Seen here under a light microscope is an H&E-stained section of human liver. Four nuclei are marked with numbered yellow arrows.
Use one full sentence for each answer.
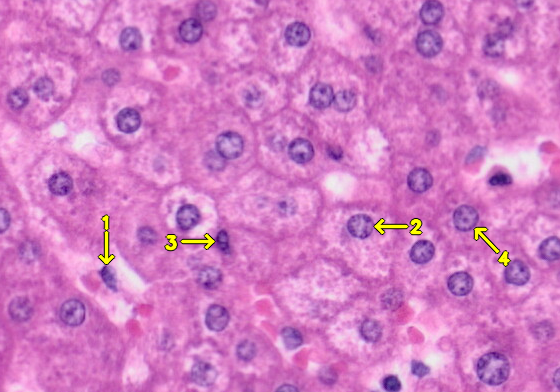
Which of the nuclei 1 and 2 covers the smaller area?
The smaller nucleus is 1, and 2 covers roughly 2 times its area.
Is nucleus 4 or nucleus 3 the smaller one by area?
Nucleus 3 covers less area, with nucleus 4 about 2 times as large.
